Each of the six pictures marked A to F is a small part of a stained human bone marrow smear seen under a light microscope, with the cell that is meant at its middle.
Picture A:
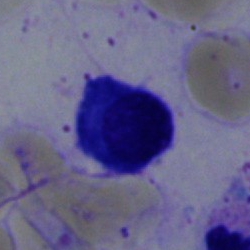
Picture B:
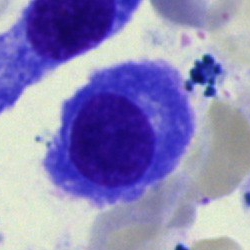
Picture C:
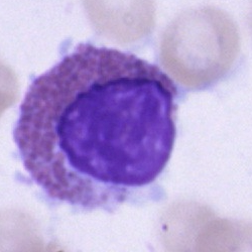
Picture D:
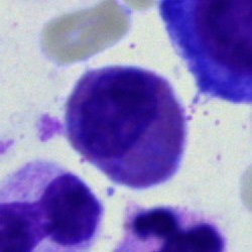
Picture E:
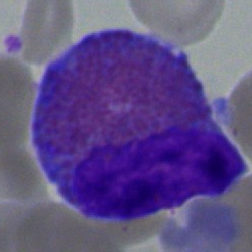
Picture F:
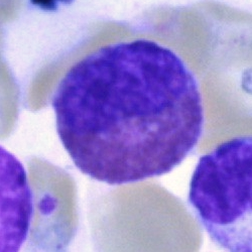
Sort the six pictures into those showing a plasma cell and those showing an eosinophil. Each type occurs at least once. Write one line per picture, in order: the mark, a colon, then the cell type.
A: plasma cell
B: plasma cell
C: eosinophil
D: eosinophil
E: eosinophil
F: eosinophil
